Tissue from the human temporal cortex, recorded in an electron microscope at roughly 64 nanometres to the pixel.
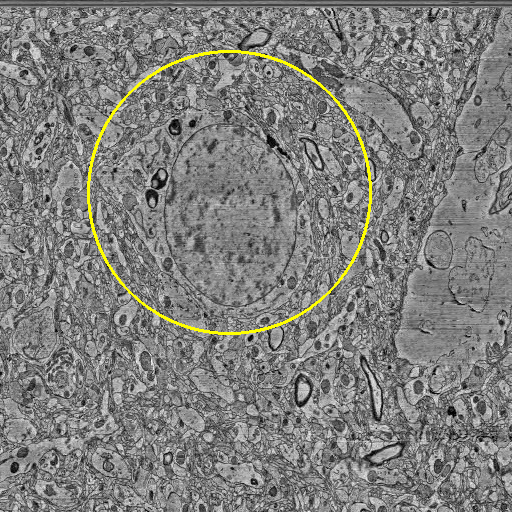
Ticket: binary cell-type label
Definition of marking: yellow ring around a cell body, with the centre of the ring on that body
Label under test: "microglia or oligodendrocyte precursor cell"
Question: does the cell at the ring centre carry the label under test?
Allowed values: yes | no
no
